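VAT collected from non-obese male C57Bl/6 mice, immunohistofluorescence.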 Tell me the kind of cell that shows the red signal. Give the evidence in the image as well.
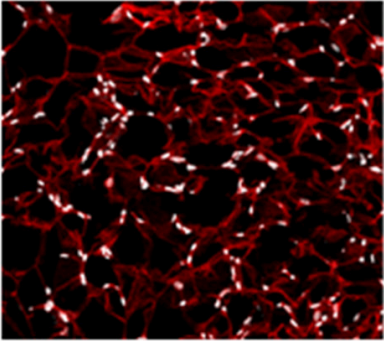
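Red lines form thin rims around large, round-to-polygonal dark spaces. Small white dots lie in the angles between the rims. On this evidence: adipocytes.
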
